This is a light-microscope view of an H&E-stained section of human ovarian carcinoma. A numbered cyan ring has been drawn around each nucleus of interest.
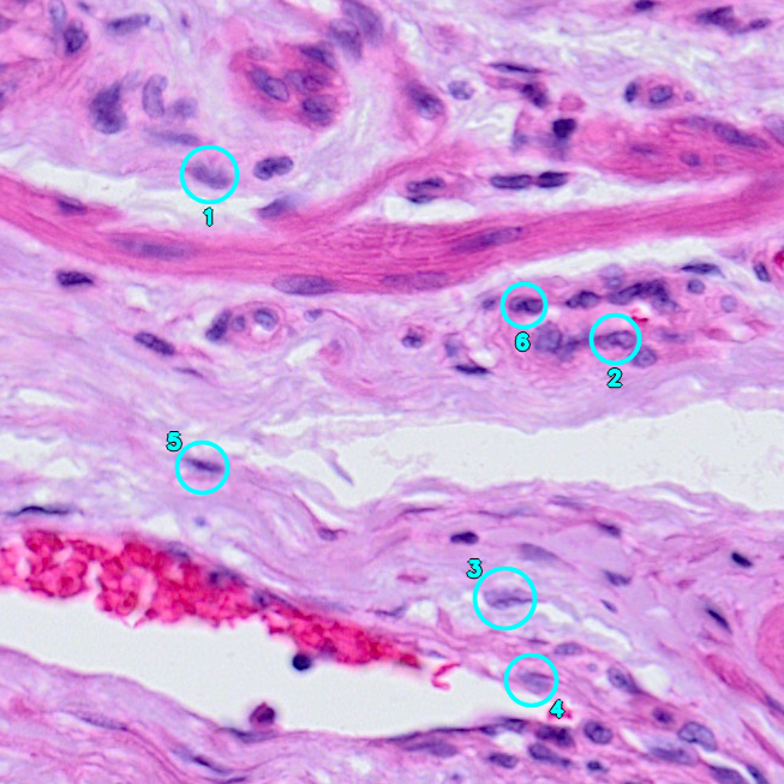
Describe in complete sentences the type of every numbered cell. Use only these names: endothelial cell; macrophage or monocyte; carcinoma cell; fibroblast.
Cell 1 is a fibroblast, cell 2 is an endothelial cell, cell 3 is a fibroblast, cell 4 is an endothelial cell, cell 5 is a fibroblast and cell 6 is an endothelial cell.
